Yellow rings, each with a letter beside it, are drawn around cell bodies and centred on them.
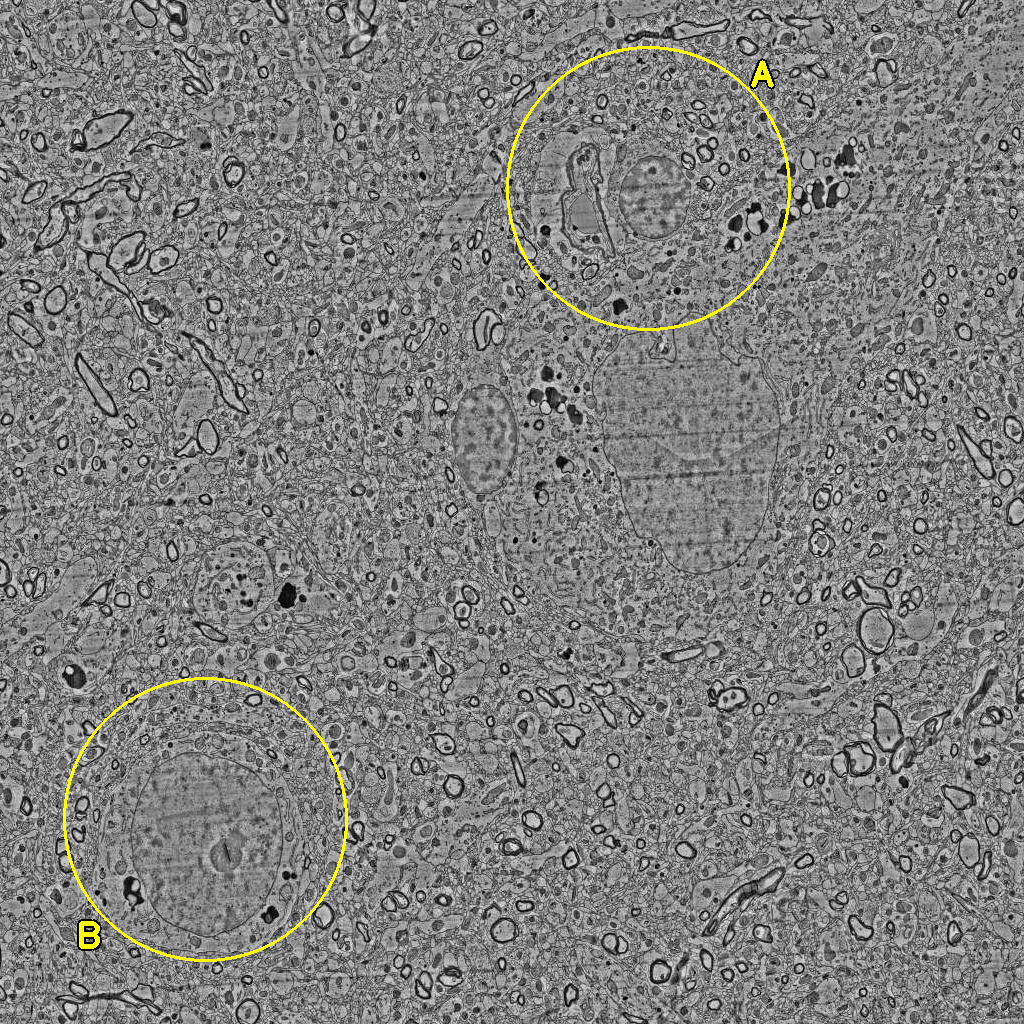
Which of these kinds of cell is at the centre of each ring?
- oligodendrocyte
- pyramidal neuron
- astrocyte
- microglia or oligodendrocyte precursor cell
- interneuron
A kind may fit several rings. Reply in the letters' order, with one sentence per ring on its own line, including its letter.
The cell in the middle of ring A is an oligodendrocyte.
The cell in the middle of ring B is a pyramidal neuron.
